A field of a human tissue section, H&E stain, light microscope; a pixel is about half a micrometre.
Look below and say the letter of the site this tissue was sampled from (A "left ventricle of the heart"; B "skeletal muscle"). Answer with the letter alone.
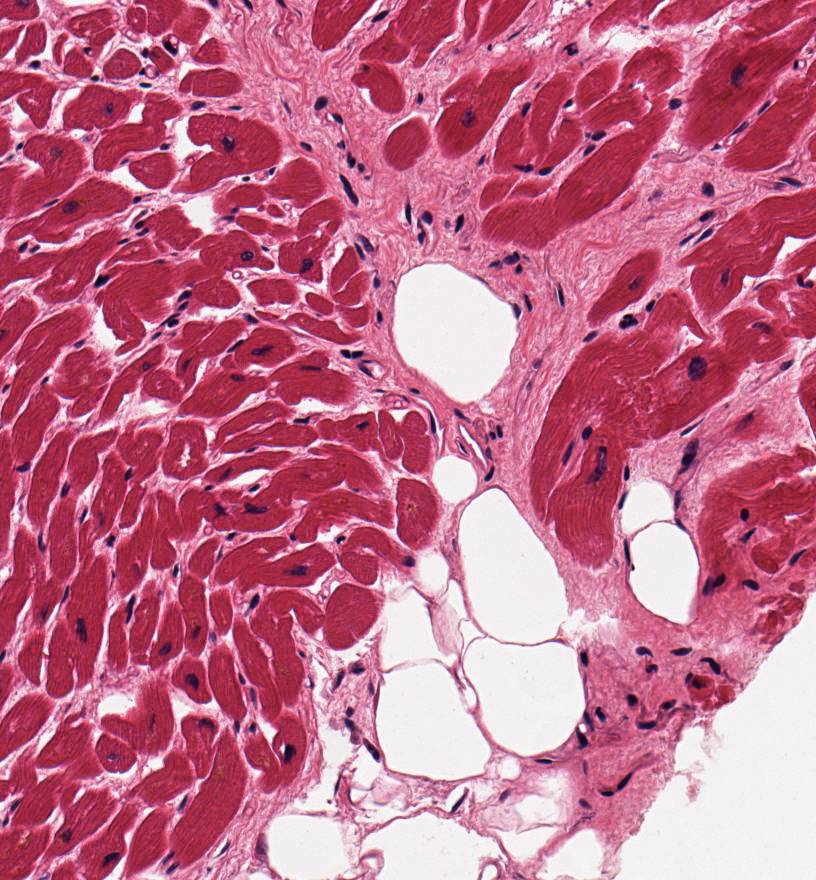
A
